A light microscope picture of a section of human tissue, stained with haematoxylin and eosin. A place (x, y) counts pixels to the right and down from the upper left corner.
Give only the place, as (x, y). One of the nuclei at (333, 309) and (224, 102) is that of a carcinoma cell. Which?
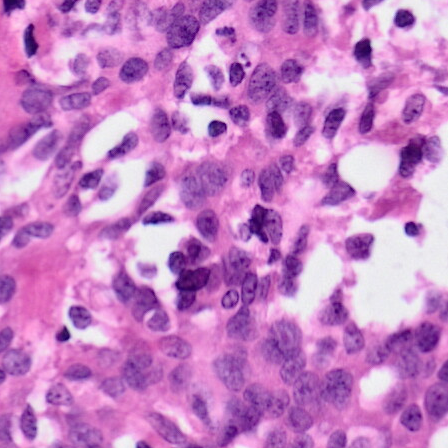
(224, 102)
